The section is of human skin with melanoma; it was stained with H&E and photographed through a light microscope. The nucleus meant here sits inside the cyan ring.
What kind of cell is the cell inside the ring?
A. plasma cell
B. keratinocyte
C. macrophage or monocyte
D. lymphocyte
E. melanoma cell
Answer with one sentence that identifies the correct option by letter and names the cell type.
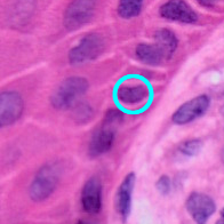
Here the cell inside the ring is a keratinocyte; pick option B.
